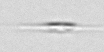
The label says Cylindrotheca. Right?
Right.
